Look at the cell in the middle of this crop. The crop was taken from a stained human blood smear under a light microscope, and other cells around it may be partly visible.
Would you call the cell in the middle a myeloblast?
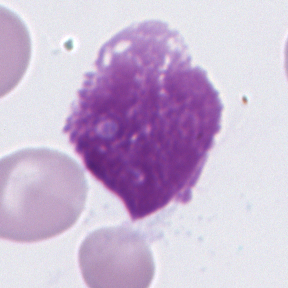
no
